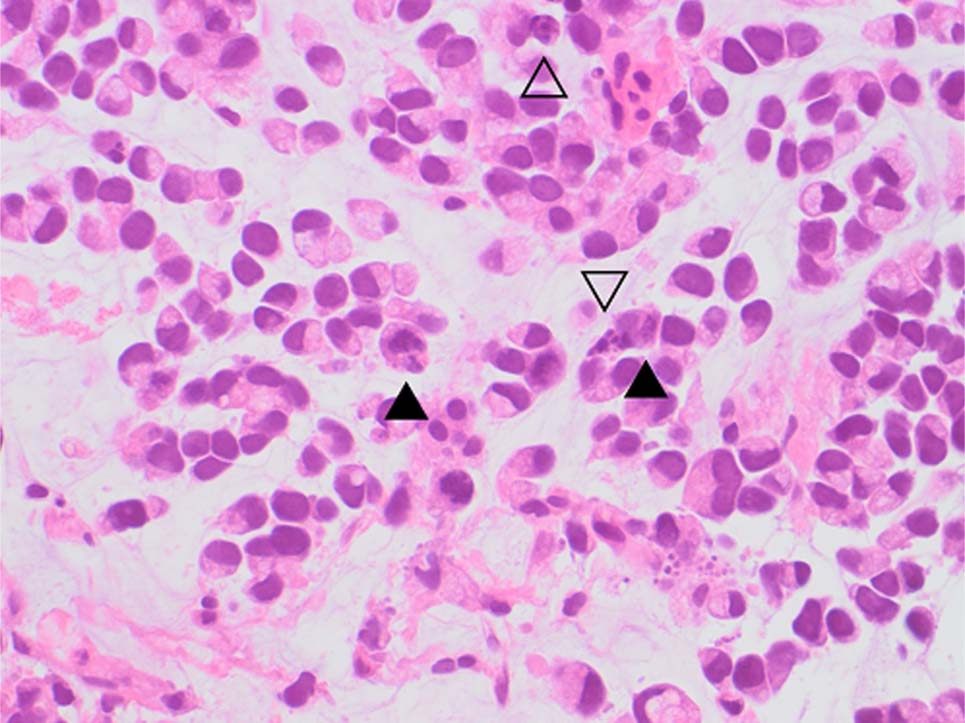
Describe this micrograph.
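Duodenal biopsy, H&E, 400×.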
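Many cells have a dark, crescent-shaped or flattened nucleus. This nucleus is pushed to one edge of the cell by pale, finely vacuolated pink cytoplasm. Scattered among them are cells with dark, clumped nuclear material, which are mitotic figures. There are also small, condensed bodies, which are apoptotic bodies.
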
